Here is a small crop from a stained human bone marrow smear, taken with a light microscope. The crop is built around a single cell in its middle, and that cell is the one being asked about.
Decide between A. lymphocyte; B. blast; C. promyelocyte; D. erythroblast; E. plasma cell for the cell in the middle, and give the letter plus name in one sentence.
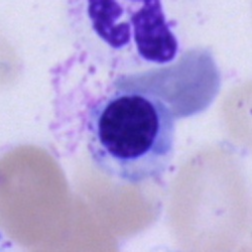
The cell in the center of this crop is an erythroblast, so option D is the one to pick.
